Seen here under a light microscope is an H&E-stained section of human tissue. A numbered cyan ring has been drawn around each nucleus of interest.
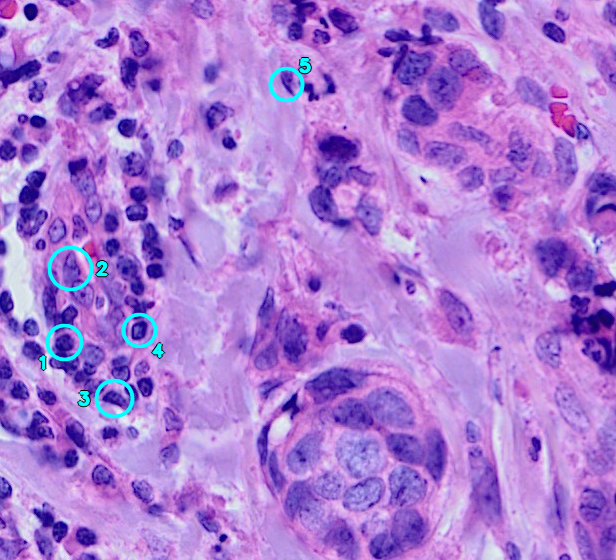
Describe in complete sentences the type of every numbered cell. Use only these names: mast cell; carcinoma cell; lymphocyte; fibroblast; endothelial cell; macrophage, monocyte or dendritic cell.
Cell 1 is a lymphocyte, cell 2 is an endothelial cell, cell 3 is a lymphocyte, cell 4 is a lymphocyte and cell 5 is a fibroblast.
